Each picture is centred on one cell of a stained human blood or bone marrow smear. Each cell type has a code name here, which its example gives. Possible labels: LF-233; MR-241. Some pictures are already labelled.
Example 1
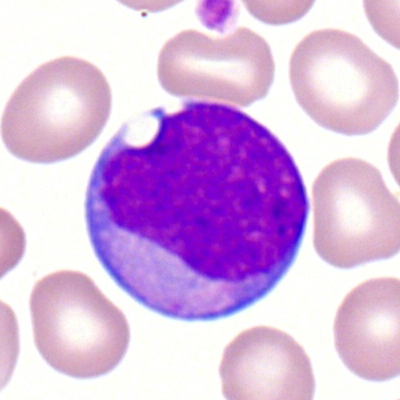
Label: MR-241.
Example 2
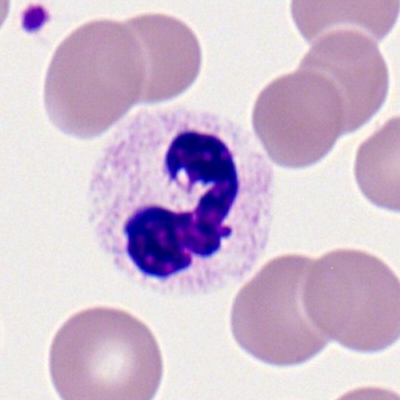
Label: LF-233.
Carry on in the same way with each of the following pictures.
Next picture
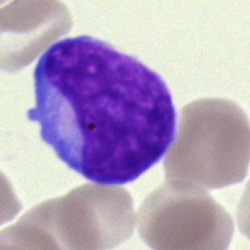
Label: MR-241.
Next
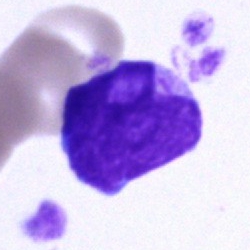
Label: MR-241.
